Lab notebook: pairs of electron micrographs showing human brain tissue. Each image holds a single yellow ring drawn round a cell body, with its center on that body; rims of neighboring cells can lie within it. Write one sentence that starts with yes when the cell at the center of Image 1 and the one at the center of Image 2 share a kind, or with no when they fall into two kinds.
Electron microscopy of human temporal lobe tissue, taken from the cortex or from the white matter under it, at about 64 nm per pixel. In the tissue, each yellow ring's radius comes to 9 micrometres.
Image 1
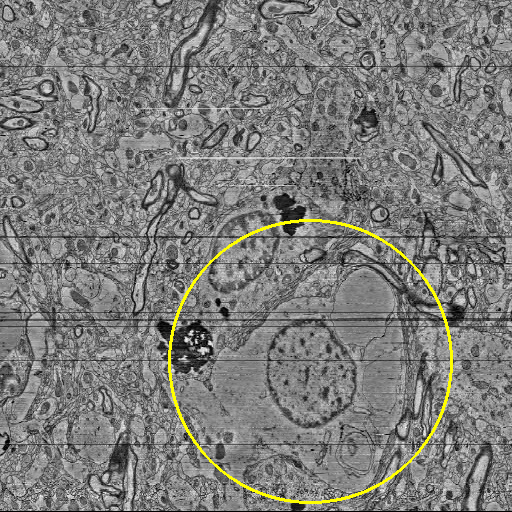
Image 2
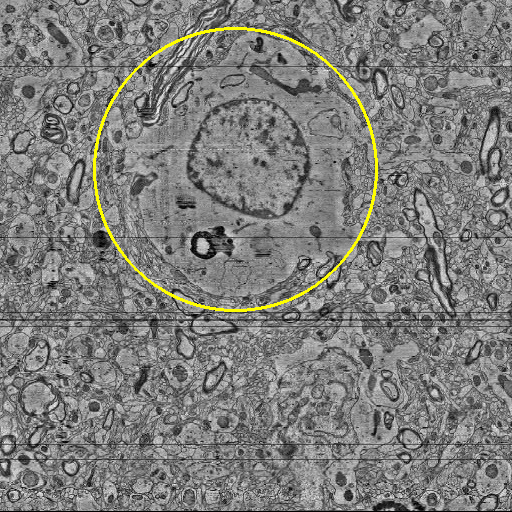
Yes, the centered cell in Image 1 and the centered cell in Image 2 are of one kind.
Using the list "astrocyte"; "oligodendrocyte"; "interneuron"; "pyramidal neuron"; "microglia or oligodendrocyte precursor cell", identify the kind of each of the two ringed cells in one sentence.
Each of the two rings surrounds an astrocyte.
